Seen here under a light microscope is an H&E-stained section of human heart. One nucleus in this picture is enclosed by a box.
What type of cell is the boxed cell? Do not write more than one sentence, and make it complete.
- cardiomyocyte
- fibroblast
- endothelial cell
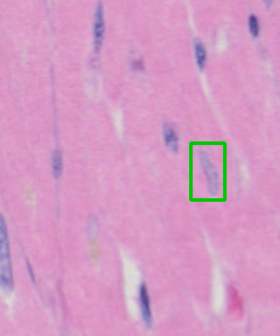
In cellular terms, the boxed cell is a cardiomyocyte.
